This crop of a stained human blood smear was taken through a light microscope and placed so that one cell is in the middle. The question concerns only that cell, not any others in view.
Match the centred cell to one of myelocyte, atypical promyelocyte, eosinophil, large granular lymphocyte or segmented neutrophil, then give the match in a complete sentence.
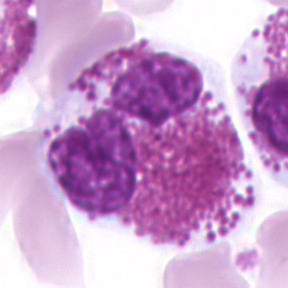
The cell at the heart of this crop is an eosinophil.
